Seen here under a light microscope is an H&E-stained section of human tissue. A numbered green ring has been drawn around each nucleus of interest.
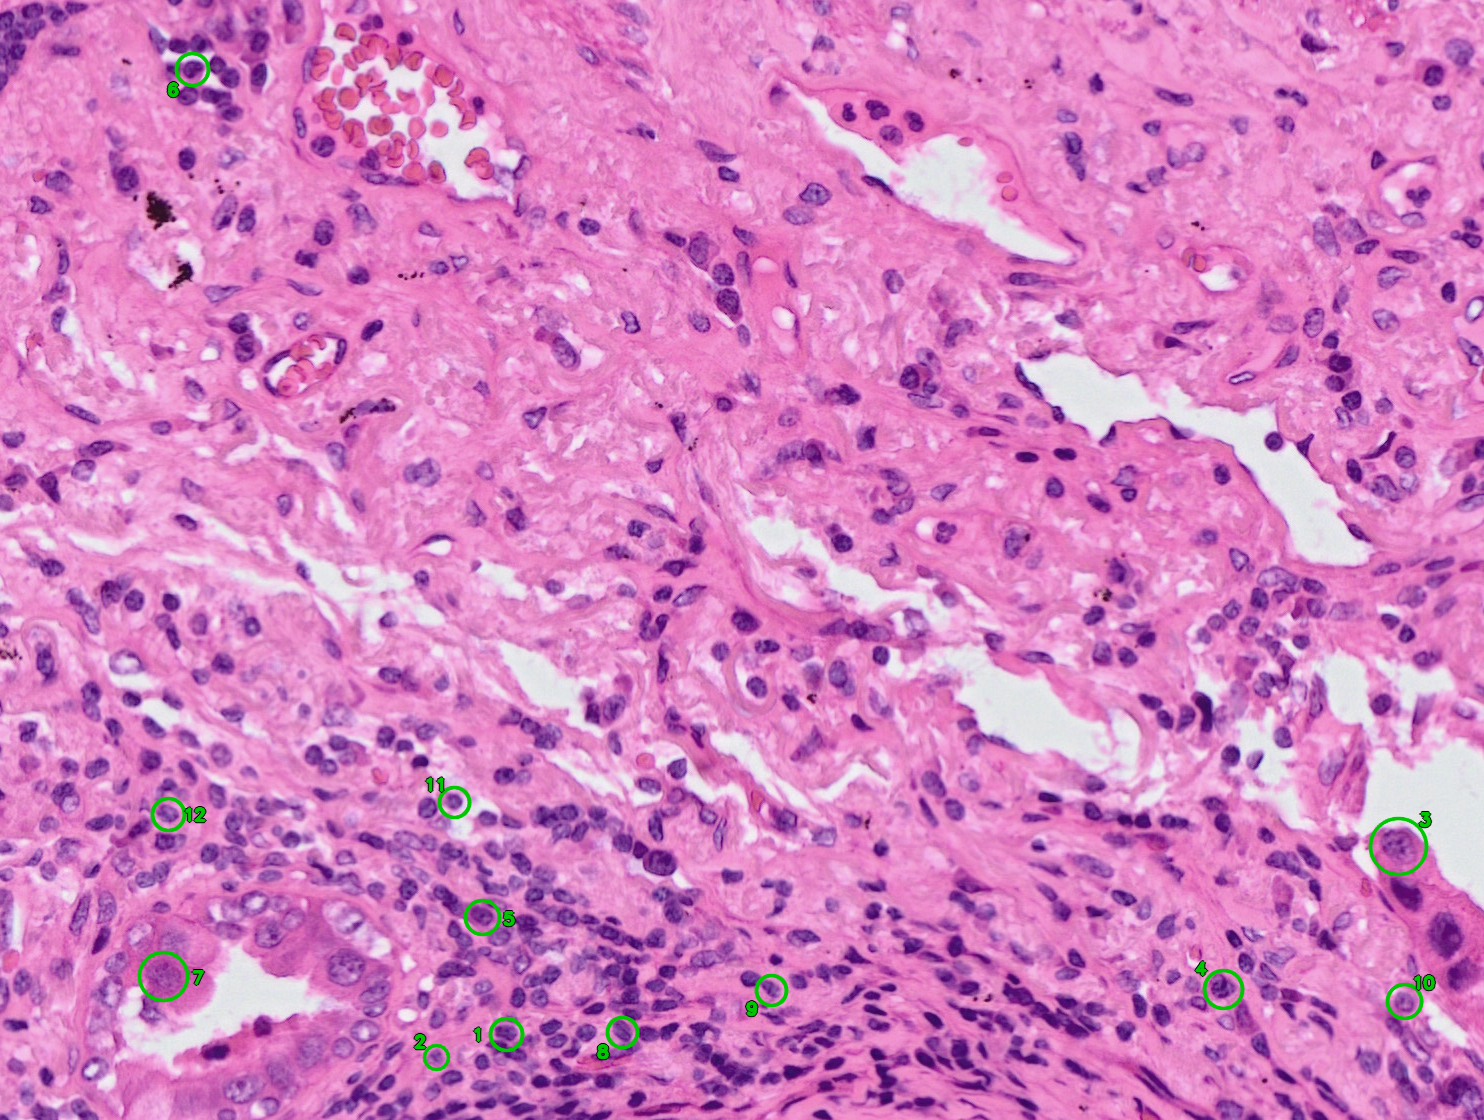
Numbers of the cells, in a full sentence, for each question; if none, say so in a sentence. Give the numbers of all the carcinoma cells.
The cells 3 and 7 in this section are carcinoma cells.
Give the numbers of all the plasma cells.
Classified as plasma cells are the cells numbered 4, 5 and 10.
